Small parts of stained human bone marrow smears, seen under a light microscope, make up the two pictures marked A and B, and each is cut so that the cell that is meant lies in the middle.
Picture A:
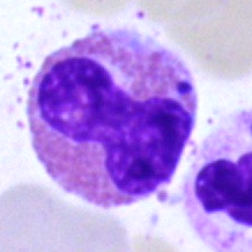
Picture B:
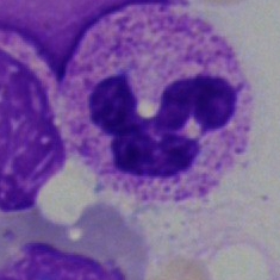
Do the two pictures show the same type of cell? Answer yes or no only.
no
